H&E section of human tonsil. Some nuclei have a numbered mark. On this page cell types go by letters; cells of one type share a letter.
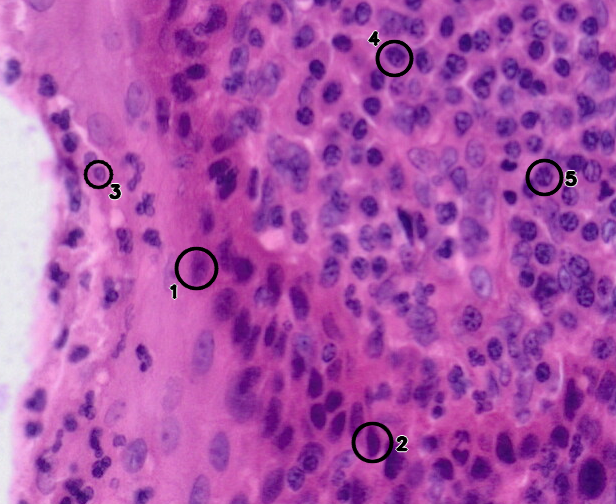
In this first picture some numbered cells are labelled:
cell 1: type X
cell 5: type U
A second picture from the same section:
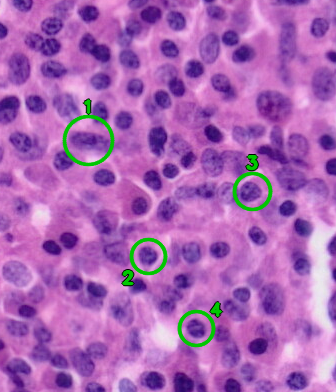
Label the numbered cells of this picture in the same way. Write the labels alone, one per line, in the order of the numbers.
type X
type U
type U
type U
